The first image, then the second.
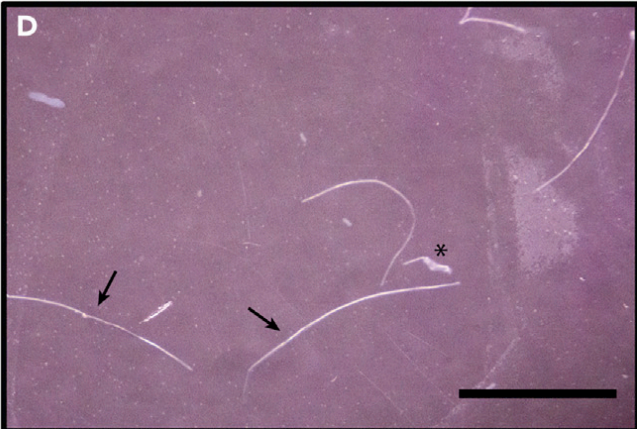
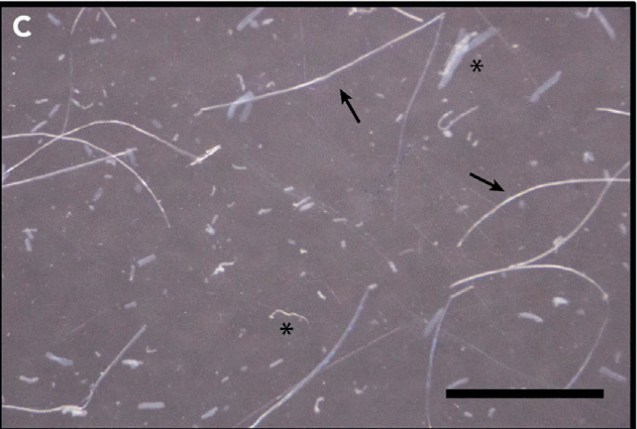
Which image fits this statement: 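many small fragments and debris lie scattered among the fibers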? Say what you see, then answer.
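First image: a few long threads on a mostly clear background, with only a few small pieces. Second image: many short bits and specks are scattered all over the field between the long threads.
Conclusion: the second image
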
